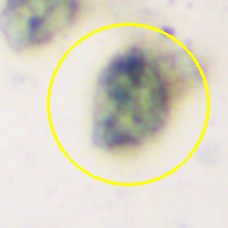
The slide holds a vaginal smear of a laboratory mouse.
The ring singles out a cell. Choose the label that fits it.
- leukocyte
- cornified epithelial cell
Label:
cornified epithelial cell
